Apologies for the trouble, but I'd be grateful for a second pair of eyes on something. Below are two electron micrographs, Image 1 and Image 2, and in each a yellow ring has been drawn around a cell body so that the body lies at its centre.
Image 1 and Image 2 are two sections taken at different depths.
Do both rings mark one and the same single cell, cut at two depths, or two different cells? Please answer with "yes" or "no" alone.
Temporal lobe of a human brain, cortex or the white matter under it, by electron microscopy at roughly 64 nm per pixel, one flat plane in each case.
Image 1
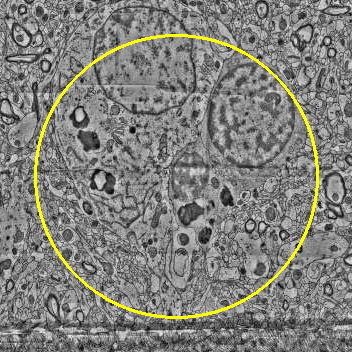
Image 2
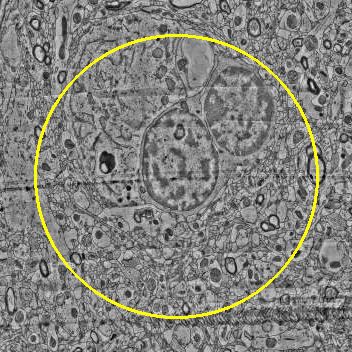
yes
